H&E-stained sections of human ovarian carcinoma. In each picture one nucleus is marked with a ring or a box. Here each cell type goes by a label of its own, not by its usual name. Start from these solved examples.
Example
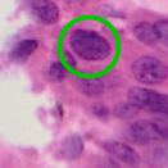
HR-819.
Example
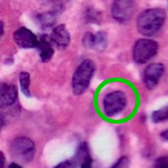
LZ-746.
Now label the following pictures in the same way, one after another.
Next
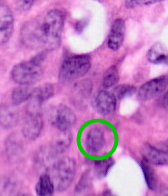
HR-819.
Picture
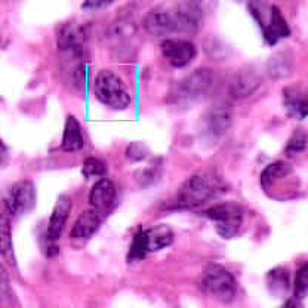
LZ-746.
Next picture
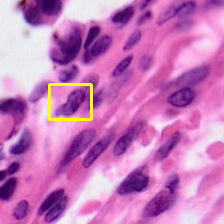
LZ-746.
